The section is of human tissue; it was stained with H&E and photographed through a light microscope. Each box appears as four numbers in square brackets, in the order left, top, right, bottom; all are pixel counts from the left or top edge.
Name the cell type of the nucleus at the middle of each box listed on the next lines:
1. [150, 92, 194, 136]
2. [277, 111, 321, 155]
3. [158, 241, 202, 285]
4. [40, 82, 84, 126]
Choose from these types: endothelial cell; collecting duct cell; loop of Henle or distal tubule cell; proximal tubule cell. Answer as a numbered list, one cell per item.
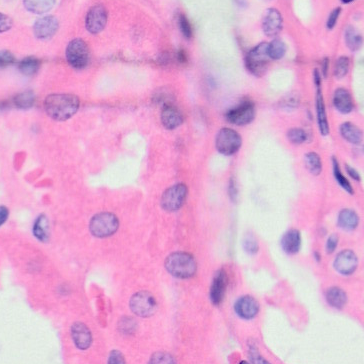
1. proximal tubule cell
2. collecting duct cell
3. proximal tubule cell
4. proximal tubule cell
